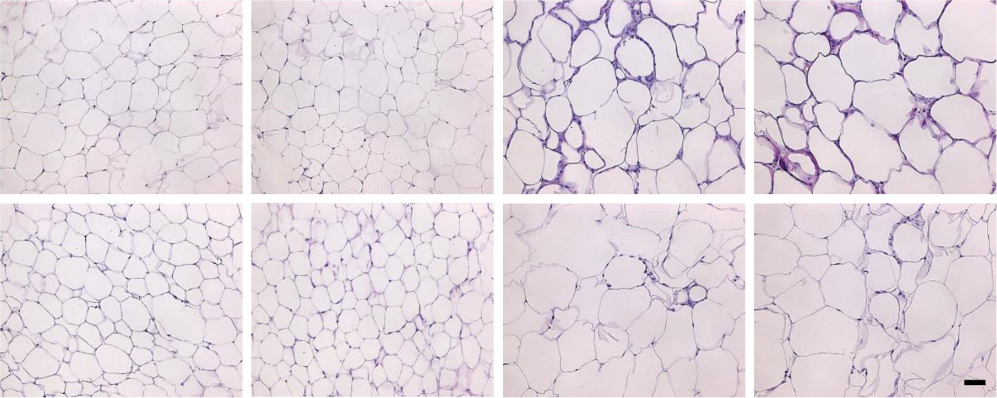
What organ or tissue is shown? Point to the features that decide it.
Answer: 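White adipose tissues. Sheets of large, round-to-polygonal empty-looking cells.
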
